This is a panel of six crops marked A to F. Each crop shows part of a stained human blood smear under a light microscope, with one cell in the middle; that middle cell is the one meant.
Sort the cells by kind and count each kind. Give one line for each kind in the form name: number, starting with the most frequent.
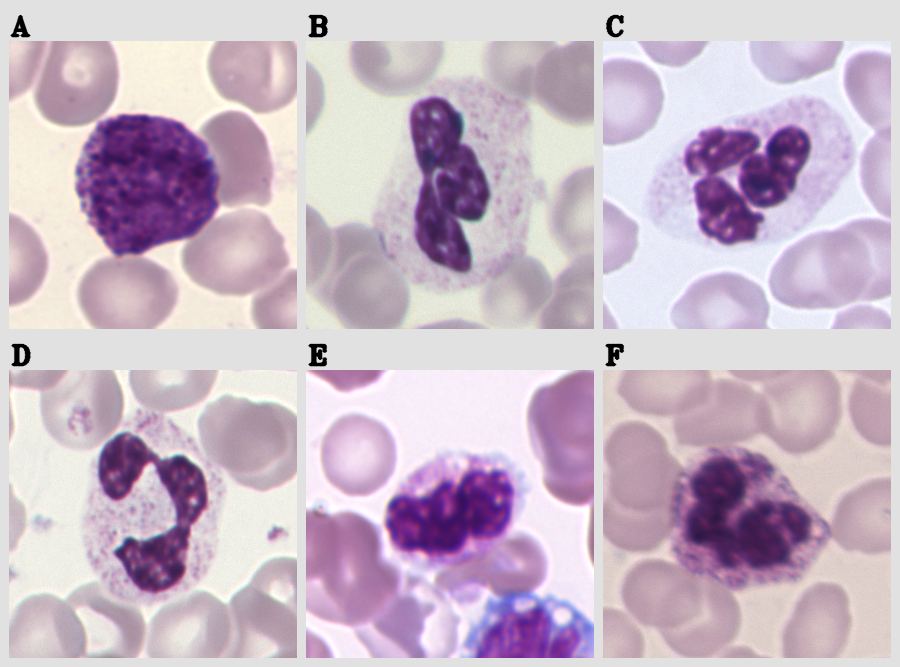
segmented neutrophil: 4
basophil: 2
